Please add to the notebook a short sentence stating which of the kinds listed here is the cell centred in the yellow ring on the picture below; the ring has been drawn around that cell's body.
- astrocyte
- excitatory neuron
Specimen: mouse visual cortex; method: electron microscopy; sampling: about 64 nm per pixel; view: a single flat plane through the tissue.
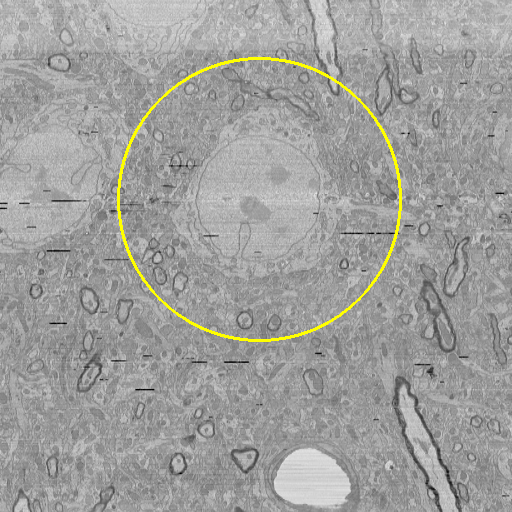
The cell centred in the yellow ring is an excitatory neuron.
